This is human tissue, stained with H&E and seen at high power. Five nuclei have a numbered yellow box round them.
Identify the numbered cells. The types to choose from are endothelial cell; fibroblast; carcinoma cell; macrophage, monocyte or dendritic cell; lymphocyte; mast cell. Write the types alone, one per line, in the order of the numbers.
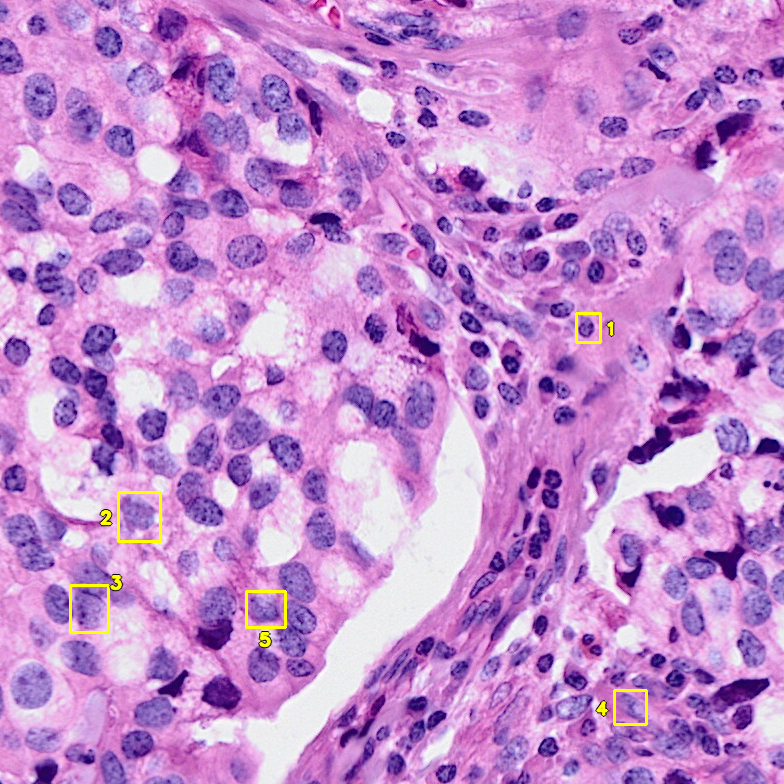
lymphocyte
carcinoma cell
carcinoma cell
endothelial cell
carcinoma cell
